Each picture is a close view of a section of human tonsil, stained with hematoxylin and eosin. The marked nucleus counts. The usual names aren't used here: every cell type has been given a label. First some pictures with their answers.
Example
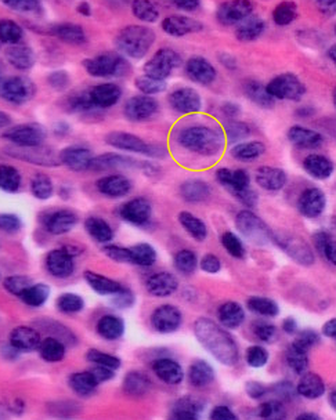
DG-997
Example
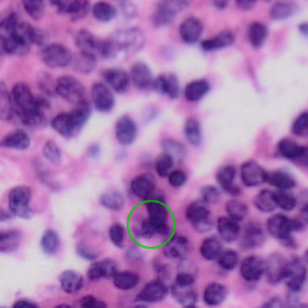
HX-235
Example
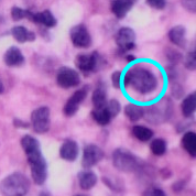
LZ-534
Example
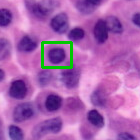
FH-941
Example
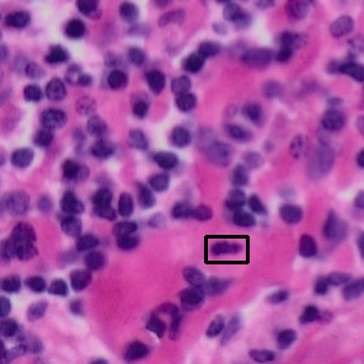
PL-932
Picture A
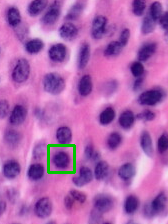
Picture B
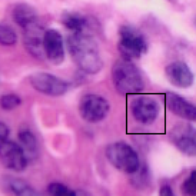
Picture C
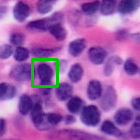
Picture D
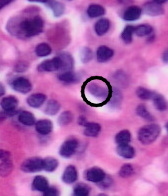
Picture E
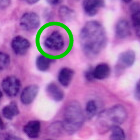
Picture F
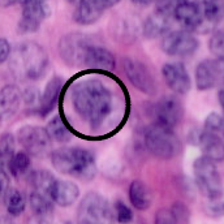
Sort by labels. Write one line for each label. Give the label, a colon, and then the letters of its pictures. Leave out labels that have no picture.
DG-997: D
HX-235: C
LZ-534: F
FH-941: A, B, E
